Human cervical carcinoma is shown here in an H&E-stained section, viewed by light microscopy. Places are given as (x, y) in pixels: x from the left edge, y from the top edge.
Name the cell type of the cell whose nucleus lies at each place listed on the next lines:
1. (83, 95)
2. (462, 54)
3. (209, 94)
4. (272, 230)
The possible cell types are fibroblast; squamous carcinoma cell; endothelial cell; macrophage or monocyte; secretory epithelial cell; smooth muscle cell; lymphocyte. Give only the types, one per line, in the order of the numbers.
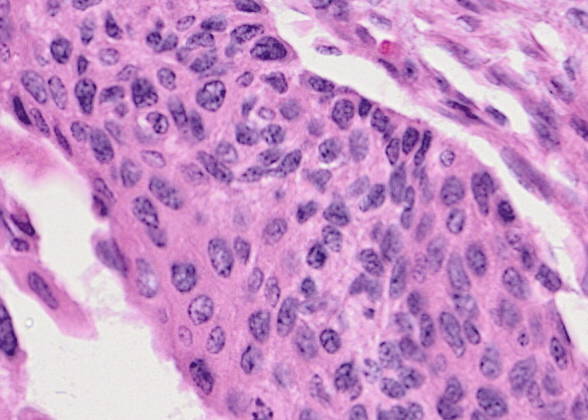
squamous carcinoma cell
fibroblast
squamous carcinoma cell
squamous carcinoma cell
